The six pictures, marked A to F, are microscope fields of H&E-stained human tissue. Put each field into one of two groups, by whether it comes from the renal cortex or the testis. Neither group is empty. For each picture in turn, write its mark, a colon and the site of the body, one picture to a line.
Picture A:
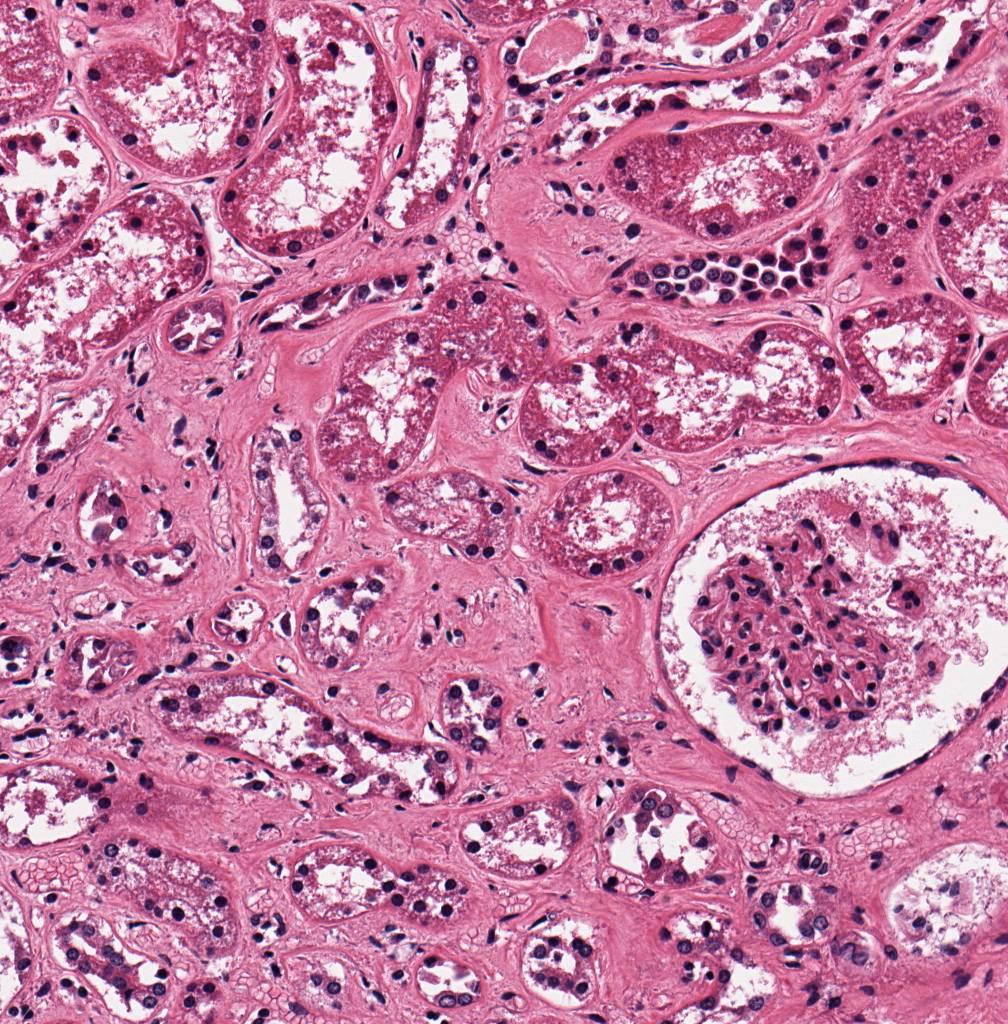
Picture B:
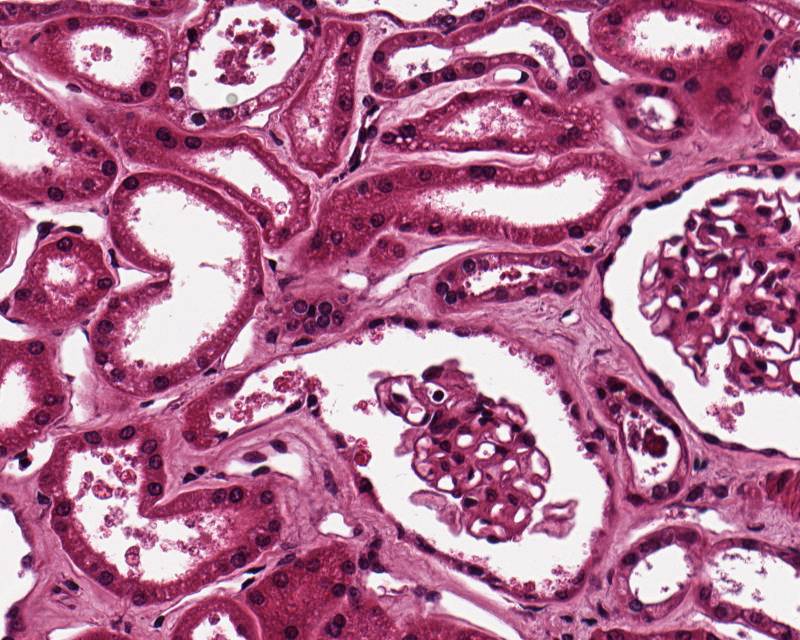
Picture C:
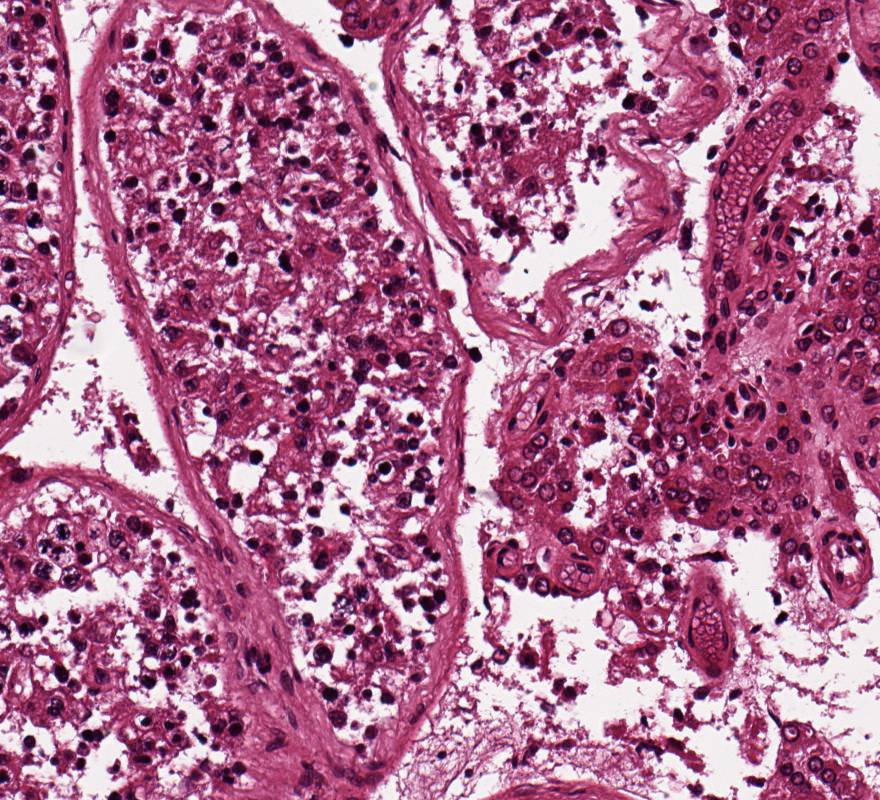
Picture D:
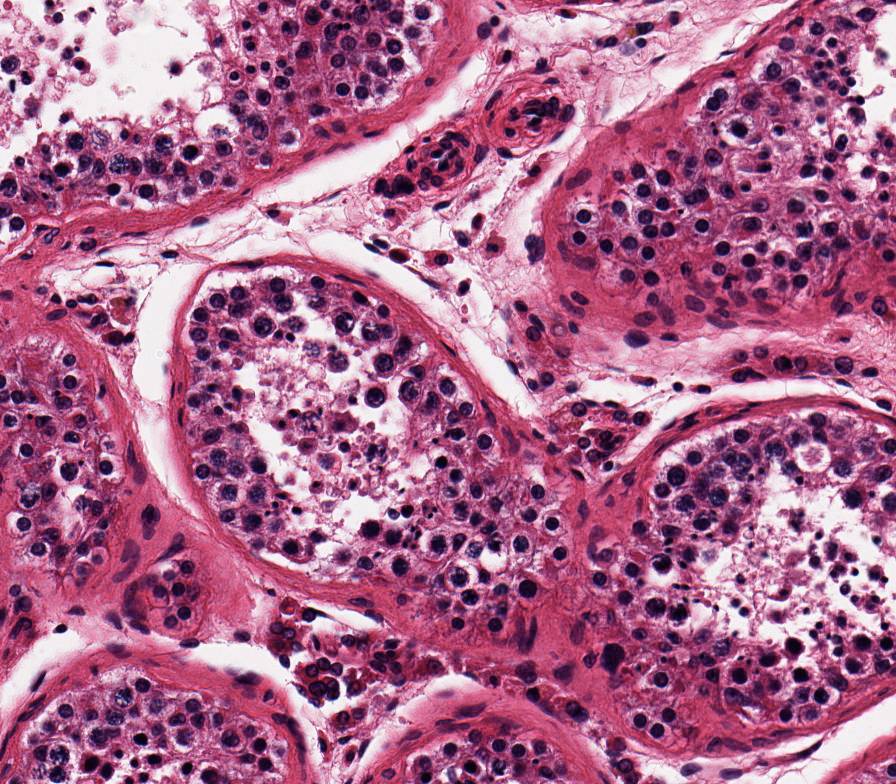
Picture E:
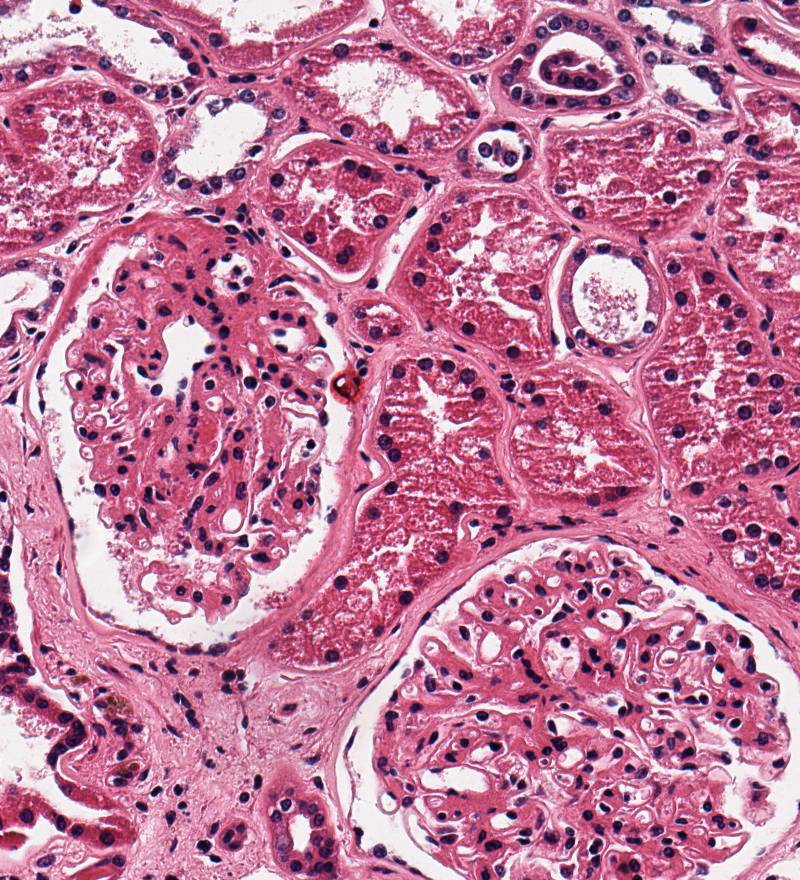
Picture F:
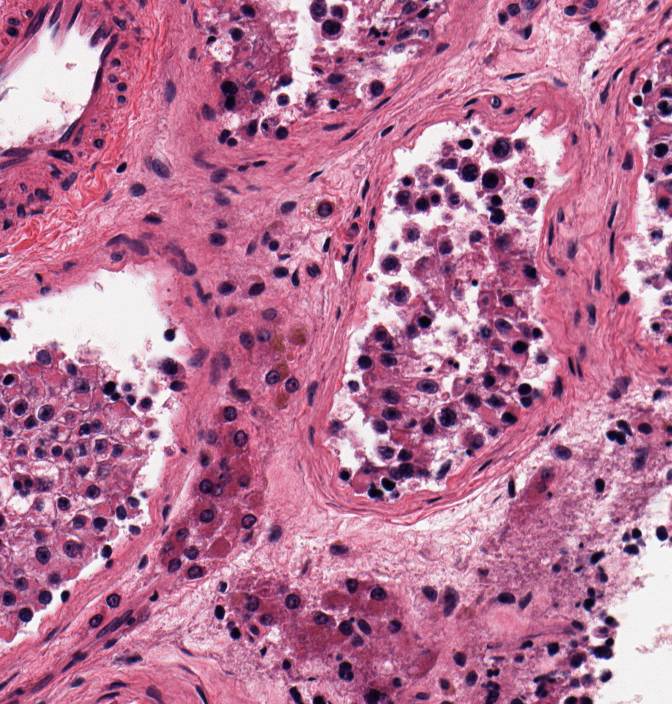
A: renal cortex
B: renal cortex
C: testis
D: testis
E: renal cortex
F: testis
